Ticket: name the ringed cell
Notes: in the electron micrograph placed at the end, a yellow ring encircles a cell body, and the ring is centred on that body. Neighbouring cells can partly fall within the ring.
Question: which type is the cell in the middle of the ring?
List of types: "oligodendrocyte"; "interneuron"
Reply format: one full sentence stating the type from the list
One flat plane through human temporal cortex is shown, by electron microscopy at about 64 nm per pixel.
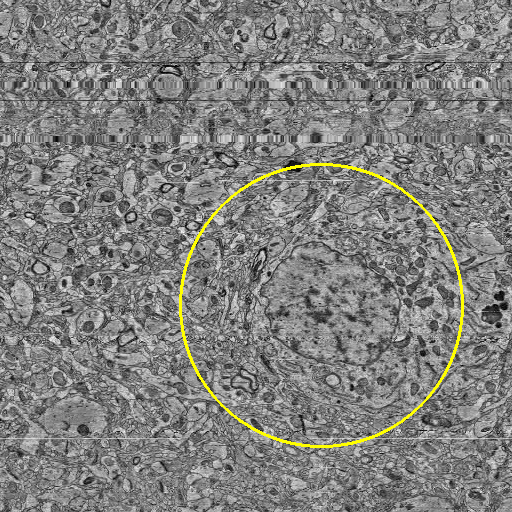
The cell sitting at the centre of the yellow ring is an interneuron.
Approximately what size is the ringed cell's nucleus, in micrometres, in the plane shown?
Roughly 9 micrometres across for the nucleus, in this plane.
